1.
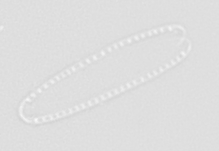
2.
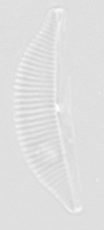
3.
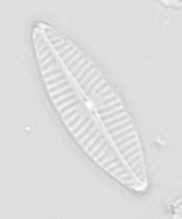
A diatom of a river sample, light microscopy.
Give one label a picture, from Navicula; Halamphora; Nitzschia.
(1) Nitzschia
(2) Halamphora
(3) Navicula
